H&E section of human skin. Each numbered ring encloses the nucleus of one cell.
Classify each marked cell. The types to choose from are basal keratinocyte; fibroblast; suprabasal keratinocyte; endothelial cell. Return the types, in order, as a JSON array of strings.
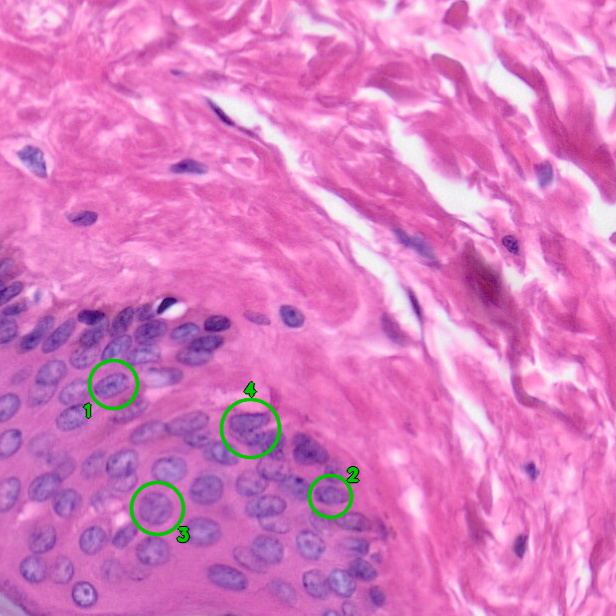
["suprabasal keratinocyte", "basal keratinocyte", "suprabasal keratinocyte", "basal keratinocyte"]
